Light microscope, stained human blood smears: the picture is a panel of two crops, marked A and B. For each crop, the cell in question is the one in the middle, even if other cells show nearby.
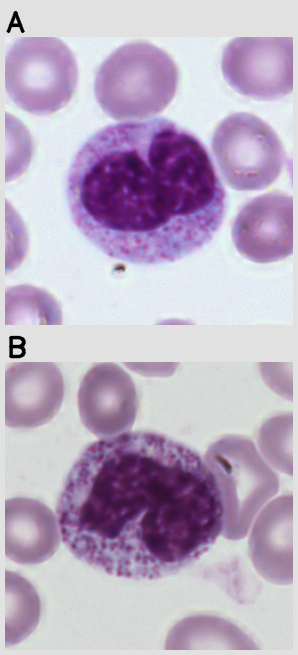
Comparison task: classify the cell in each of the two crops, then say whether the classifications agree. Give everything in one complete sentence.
Yes, both crops are centred on cells that are band neutrophils.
